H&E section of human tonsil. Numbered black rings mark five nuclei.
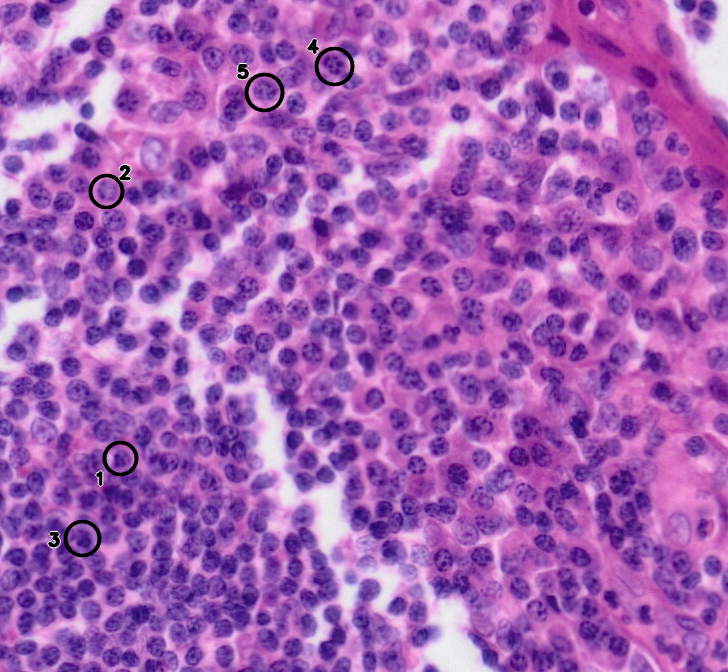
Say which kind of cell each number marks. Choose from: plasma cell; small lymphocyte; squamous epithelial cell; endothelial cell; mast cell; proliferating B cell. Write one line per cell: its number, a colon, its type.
1: small lymphocyte
2: plasma cell
3: small lymphocyte
4: plasma cell
5: plasma cell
